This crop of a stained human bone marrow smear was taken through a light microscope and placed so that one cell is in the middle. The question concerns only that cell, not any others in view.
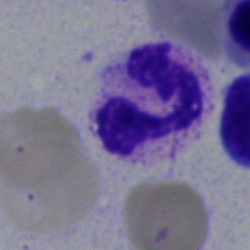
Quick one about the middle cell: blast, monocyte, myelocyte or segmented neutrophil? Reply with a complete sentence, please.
The cell shown in the center of this light-microscope crop is a segmented neutrophil.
